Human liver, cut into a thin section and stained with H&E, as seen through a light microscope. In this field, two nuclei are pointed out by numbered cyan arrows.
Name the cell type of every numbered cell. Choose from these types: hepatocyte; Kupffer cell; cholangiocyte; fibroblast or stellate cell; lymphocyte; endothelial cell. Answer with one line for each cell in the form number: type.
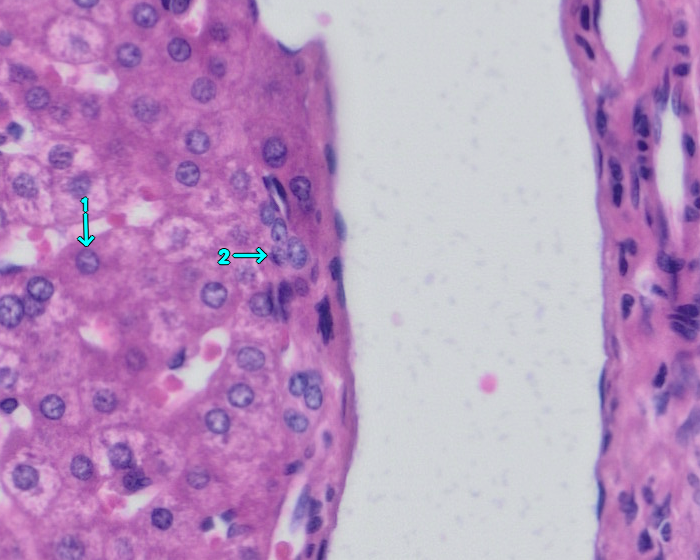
1: hepatocyte
2: cholangiocyte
